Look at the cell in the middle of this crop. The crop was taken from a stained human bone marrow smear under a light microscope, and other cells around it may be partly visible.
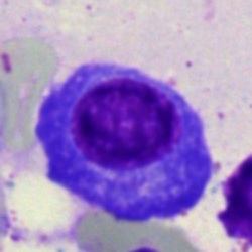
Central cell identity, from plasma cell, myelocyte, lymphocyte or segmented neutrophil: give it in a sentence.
The cell sitting right in the middle is a plasma cell.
